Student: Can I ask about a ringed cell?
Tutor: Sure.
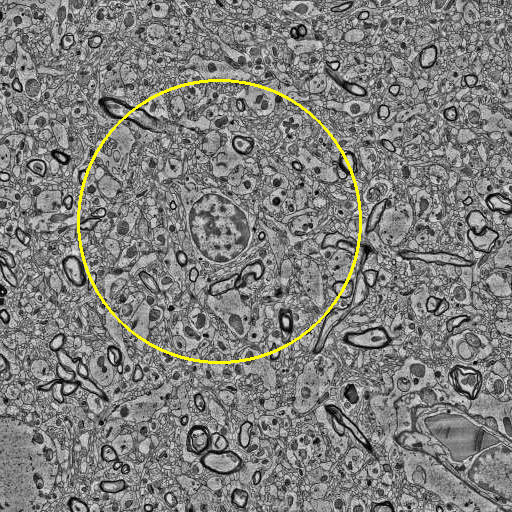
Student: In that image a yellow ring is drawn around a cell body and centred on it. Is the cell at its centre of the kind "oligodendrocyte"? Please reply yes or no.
No, the cell is of another kind.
